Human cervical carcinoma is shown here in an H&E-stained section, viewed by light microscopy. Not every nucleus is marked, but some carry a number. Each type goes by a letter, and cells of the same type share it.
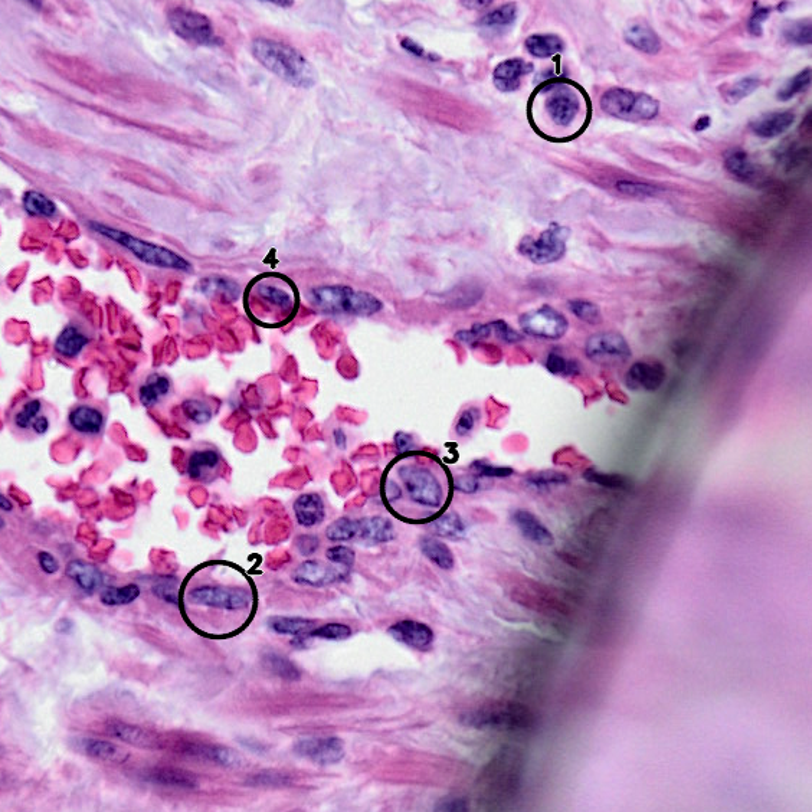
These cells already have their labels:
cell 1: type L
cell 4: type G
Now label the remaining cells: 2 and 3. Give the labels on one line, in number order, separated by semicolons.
type G; type G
